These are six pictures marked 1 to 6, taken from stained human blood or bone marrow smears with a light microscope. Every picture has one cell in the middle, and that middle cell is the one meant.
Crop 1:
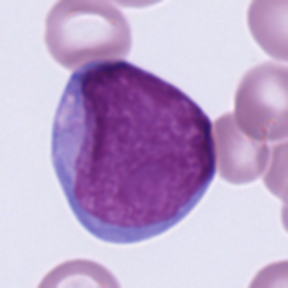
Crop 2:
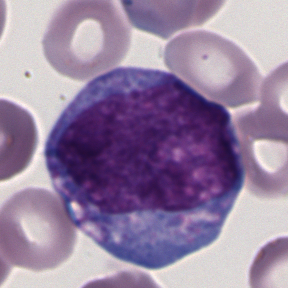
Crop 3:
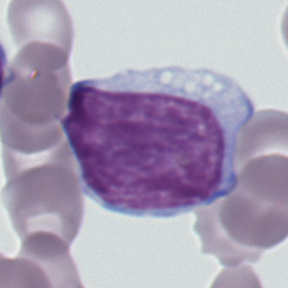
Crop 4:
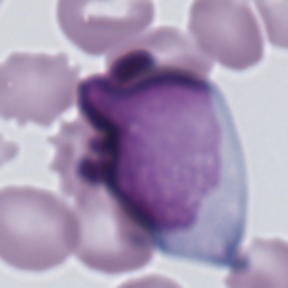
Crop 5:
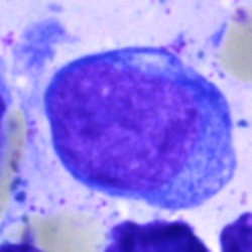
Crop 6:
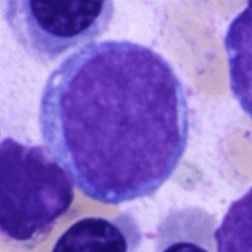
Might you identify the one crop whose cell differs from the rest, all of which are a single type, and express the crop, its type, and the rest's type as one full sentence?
Crop 2 is the exception here: it is a promyelocyte, and the others are blasts.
